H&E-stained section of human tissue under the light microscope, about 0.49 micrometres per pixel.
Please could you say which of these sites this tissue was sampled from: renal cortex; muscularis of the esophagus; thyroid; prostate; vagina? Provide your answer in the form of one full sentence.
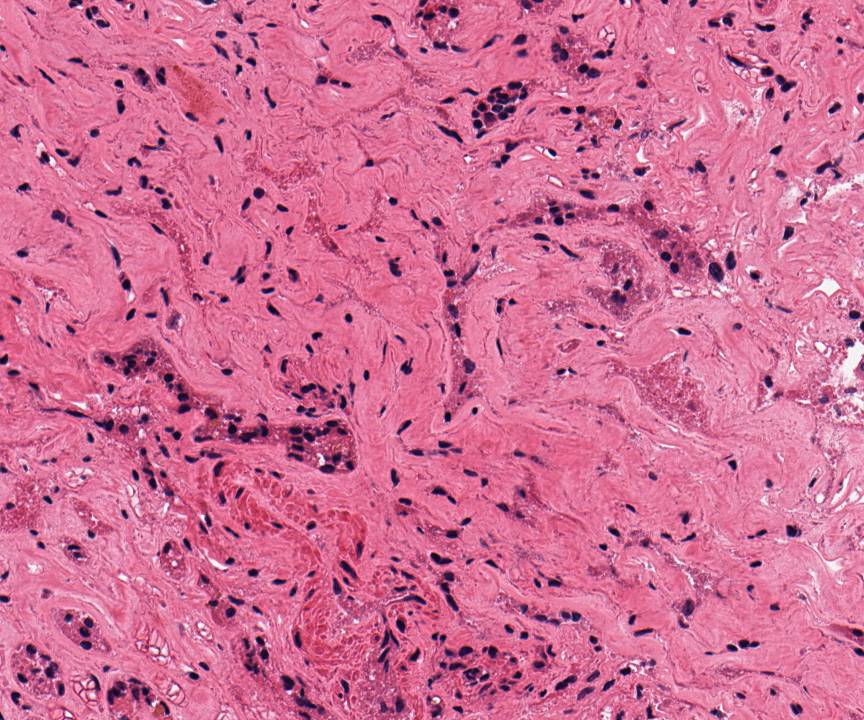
This sample of human tissue comes from the renal cortex.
